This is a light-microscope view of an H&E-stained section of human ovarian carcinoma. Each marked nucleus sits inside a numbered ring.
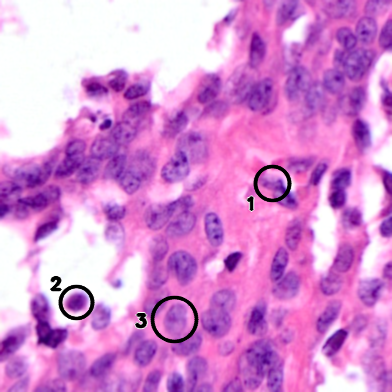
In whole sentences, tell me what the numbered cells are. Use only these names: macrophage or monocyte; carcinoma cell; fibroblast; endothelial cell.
Cell 1 is an endothelial cell, cell 2 is a carcinoma cell and cell 3 is a carcinoma cell.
